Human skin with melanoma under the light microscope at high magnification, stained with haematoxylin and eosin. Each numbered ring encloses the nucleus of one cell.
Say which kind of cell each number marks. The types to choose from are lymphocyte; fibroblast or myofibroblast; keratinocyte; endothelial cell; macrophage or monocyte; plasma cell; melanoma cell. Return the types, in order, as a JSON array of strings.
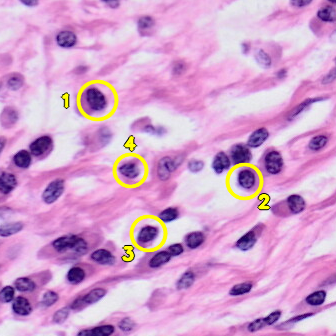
["plasma cell", "plasma cell", "plasma cell", "lymphocyte"]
